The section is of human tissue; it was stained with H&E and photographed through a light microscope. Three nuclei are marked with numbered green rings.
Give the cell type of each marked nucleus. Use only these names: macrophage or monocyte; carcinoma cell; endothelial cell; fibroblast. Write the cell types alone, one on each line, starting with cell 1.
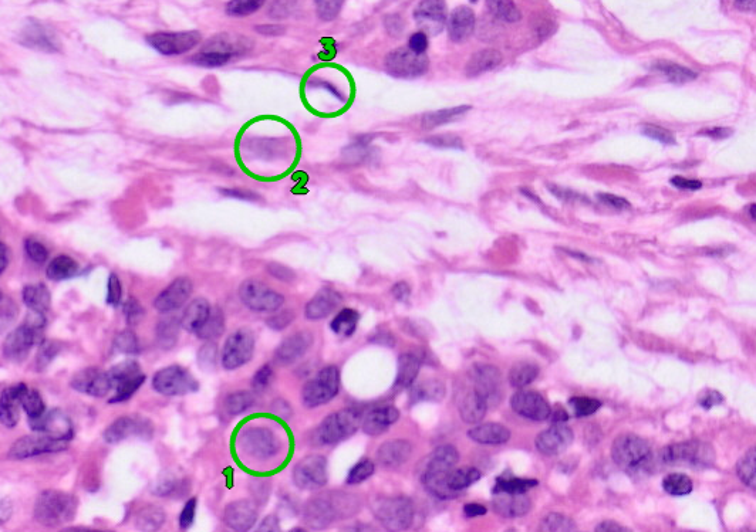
carcinoma cell
fibroblast
fibroblast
